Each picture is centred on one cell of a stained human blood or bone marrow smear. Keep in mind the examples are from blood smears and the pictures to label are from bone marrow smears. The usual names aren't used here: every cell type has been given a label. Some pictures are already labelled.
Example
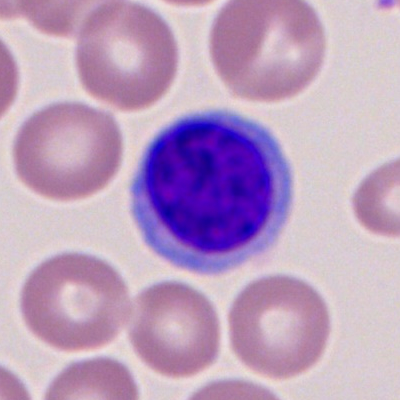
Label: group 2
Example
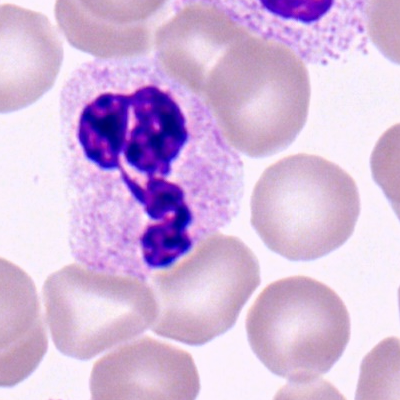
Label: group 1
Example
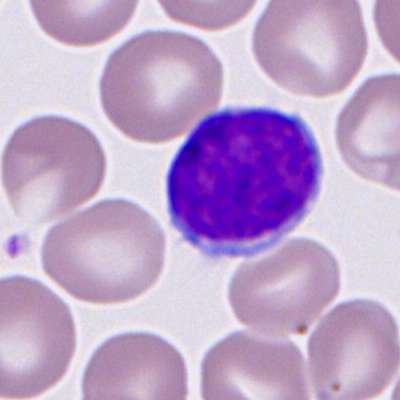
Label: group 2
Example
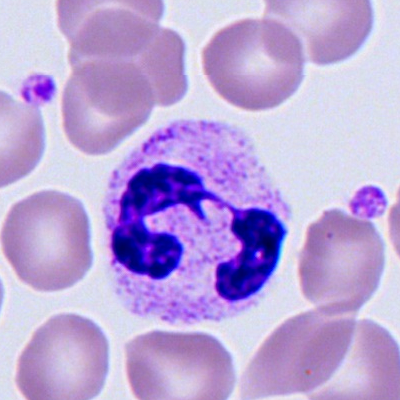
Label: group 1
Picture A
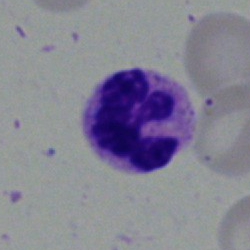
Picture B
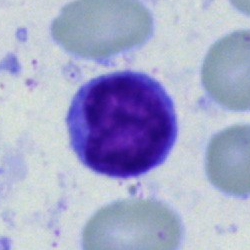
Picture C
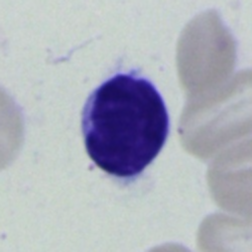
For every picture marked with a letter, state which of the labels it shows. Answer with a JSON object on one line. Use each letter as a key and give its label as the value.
{"A": "group 1", "B": "group 2", "C": "group 2"}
